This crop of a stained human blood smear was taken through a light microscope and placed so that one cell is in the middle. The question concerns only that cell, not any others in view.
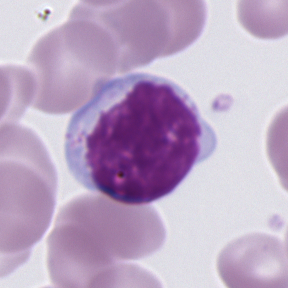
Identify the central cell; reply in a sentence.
The cell at the centre of the field is a large granular lymphocyte.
